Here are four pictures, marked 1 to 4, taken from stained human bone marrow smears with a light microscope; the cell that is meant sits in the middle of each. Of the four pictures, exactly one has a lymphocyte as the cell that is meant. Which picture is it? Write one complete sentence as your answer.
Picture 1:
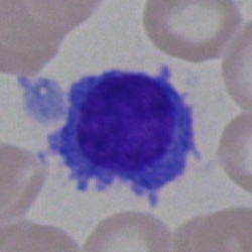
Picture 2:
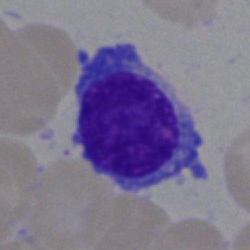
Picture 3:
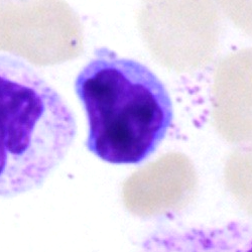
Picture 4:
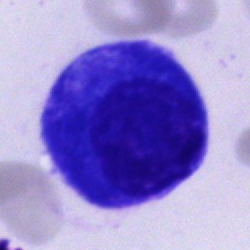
Picture 3 shows the lymphocyte.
